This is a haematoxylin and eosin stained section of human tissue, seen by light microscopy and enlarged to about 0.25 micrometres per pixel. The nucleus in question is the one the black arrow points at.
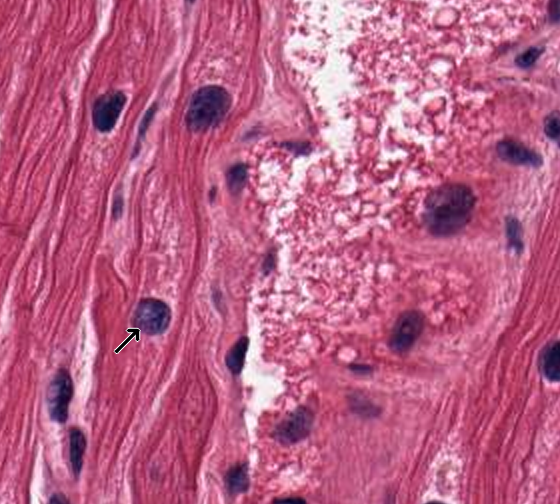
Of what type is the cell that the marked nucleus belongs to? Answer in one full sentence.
The marked nucleus is part of a cardiomyocyte.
